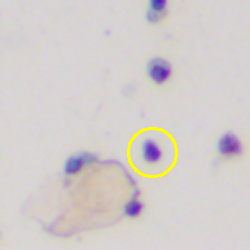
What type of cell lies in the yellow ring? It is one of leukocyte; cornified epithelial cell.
The ringed cell is a leukocyte.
